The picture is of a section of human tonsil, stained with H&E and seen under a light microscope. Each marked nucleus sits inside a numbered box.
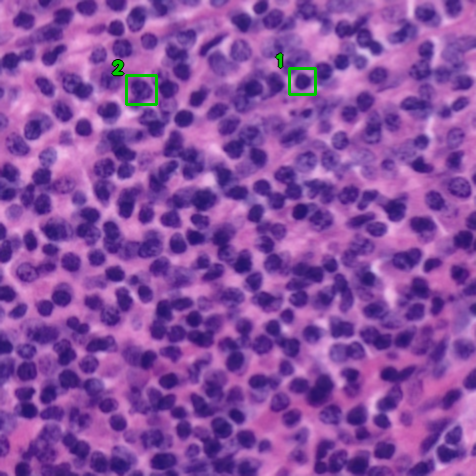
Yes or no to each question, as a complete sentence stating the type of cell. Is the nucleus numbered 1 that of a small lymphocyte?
Yes, to put it simply, cell number 1 is a small lymphocyte.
